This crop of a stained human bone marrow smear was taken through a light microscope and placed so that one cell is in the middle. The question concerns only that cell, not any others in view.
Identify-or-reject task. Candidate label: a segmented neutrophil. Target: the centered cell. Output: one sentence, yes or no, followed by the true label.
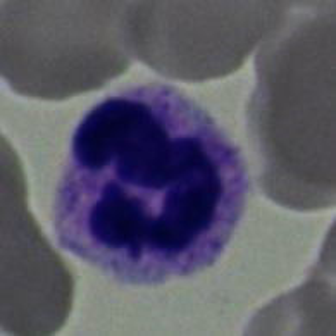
Yes, the cell in the middle of the view is a segmented neutrophil.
